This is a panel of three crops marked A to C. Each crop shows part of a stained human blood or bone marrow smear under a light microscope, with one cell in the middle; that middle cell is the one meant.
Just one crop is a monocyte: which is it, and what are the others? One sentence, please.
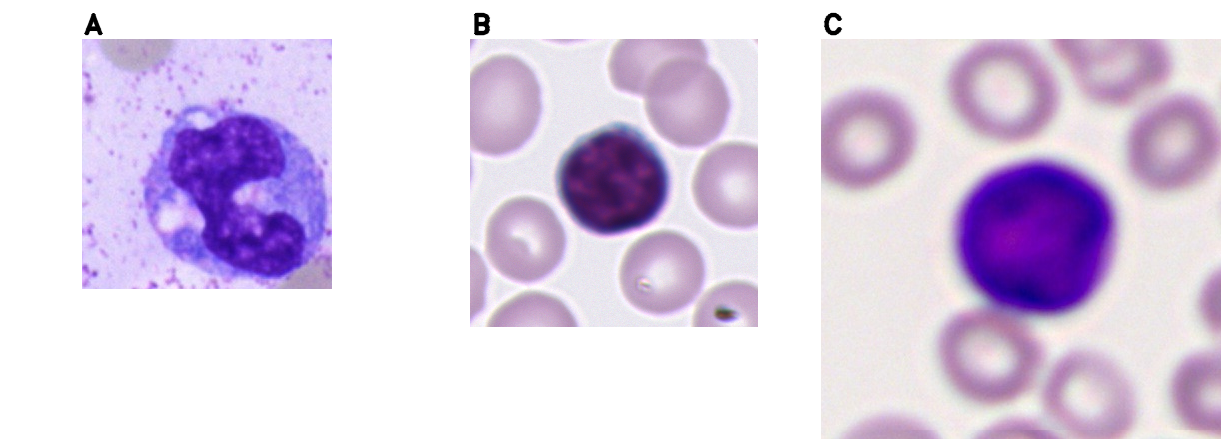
The cell occupying crop A is a monocyte, whereas crop B is a lymphocyte and crop C is a blast.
